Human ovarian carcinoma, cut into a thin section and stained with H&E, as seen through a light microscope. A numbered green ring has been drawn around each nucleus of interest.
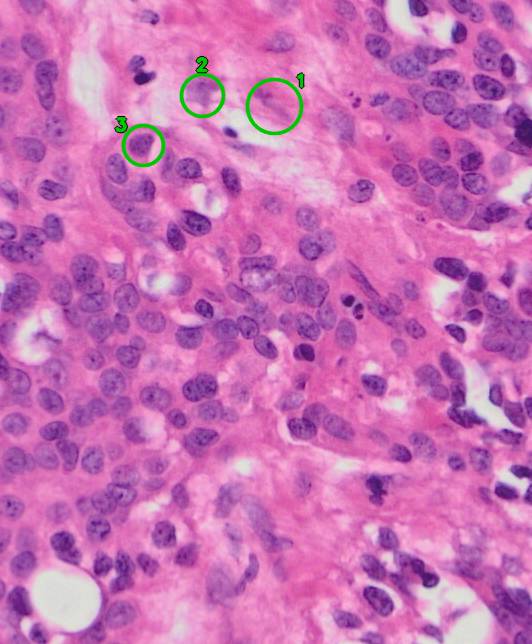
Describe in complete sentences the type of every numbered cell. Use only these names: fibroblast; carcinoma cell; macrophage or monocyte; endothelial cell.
Cell 1 is a fibroblast, cell 2 is a fibroblast and cell 3 is a macrophage or monocyte.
